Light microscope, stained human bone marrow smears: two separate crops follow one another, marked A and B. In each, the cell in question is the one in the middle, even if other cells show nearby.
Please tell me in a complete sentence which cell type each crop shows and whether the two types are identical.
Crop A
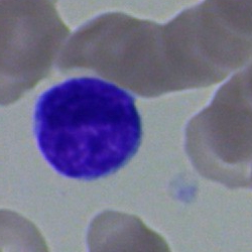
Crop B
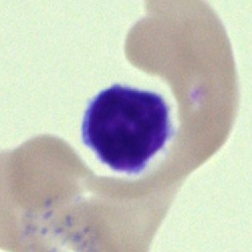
Yes, both crops show lymphocytes, with no exception.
